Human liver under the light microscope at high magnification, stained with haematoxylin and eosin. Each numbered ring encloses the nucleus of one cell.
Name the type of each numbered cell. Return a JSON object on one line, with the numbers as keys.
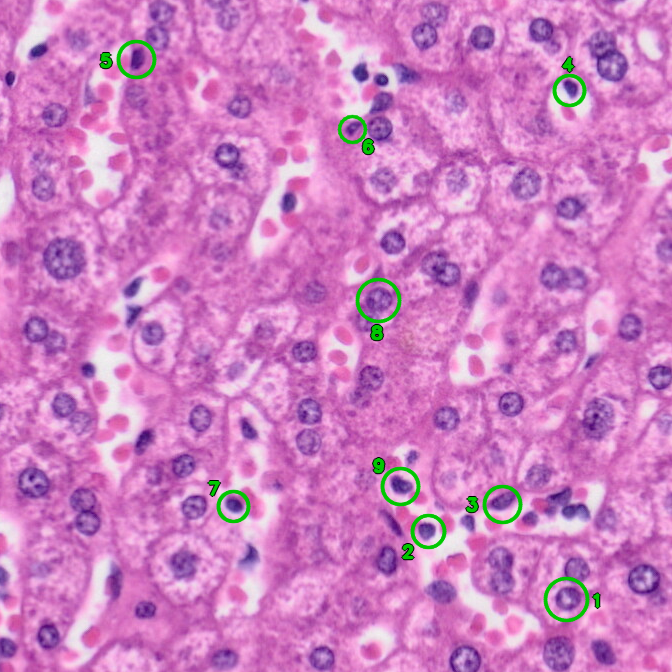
{"1": "hepatocyte", "2": "lymphocyte", "3": "Kupffer cell", "4": "lymphocyte", "5": "fibroblast or stellate cell", "6": "fibroblast or stellate cell", "7": "lymphocyte", "8": "hepatocyte", "9": "lymphocyte"}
